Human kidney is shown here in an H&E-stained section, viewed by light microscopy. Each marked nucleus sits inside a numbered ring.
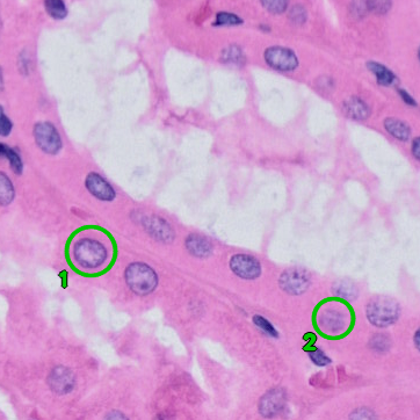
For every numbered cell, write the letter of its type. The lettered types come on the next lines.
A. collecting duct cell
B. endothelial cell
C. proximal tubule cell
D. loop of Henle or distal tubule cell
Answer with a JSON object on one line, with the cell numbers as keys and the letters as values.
{"1": "C", "2": "D"}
